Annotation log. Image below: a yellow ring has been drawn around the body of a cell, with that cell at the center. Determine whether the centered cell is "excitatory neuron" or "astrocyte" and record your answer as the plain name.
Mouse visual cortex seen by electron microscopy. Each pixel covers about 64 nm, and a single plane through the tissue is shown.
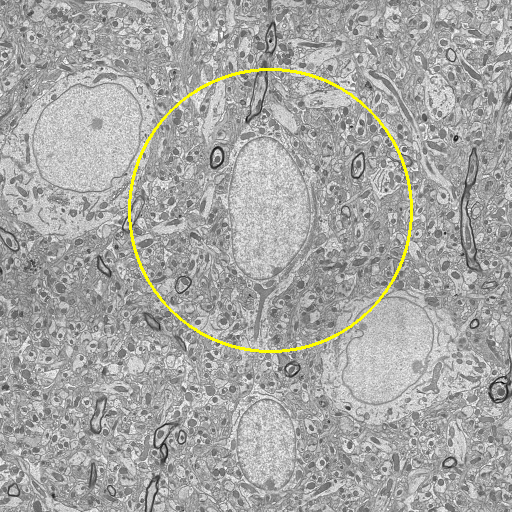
astrocyte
